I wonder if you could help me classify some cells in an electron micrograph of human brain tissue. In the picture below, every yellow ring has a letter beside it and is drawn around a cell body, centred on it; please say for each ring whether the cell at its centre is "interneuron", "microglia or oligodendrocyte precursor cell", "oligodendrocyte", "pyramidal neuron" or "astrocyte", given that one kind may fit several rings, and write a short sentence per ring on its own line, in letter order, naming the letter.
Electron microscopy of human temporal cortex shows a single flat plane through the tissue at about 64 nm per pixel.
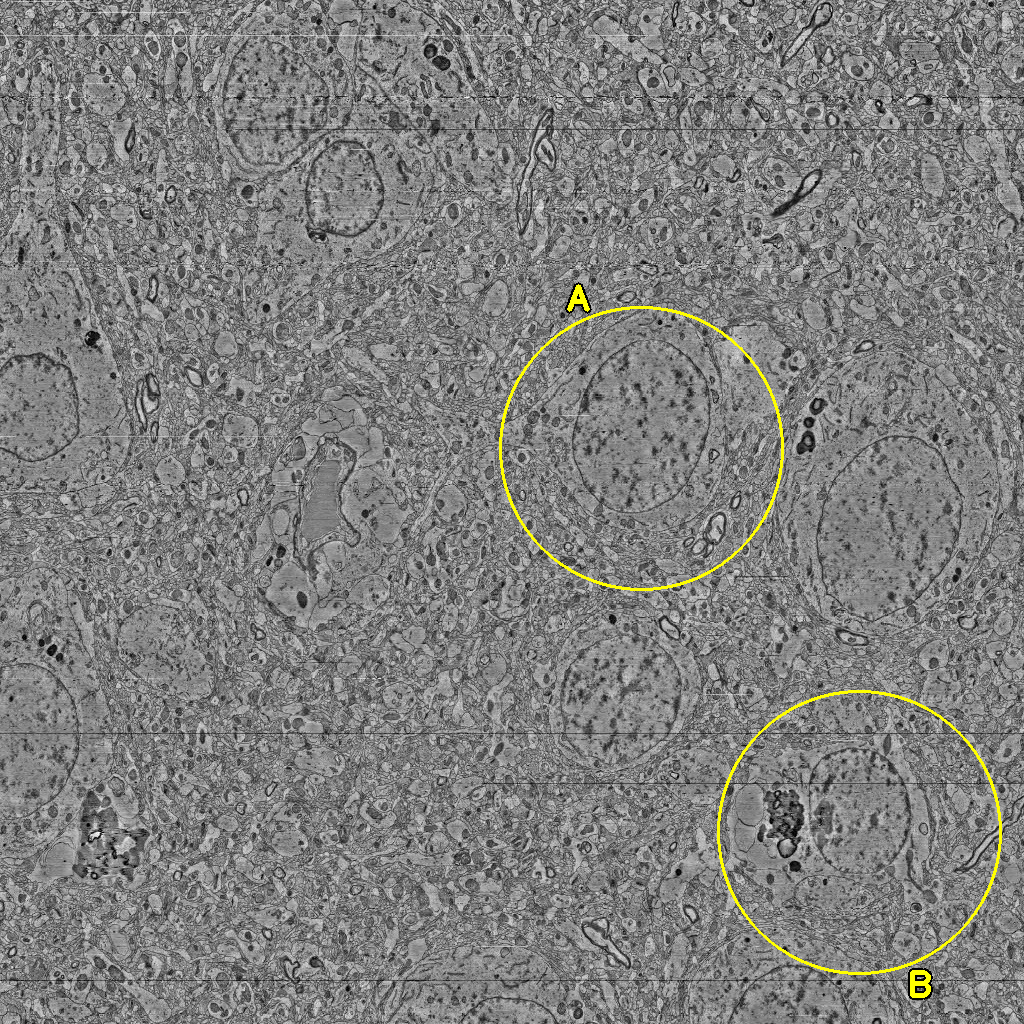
Centred in ring A is a pyramidal neuron.
Centred in ring B is an astrocyte.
